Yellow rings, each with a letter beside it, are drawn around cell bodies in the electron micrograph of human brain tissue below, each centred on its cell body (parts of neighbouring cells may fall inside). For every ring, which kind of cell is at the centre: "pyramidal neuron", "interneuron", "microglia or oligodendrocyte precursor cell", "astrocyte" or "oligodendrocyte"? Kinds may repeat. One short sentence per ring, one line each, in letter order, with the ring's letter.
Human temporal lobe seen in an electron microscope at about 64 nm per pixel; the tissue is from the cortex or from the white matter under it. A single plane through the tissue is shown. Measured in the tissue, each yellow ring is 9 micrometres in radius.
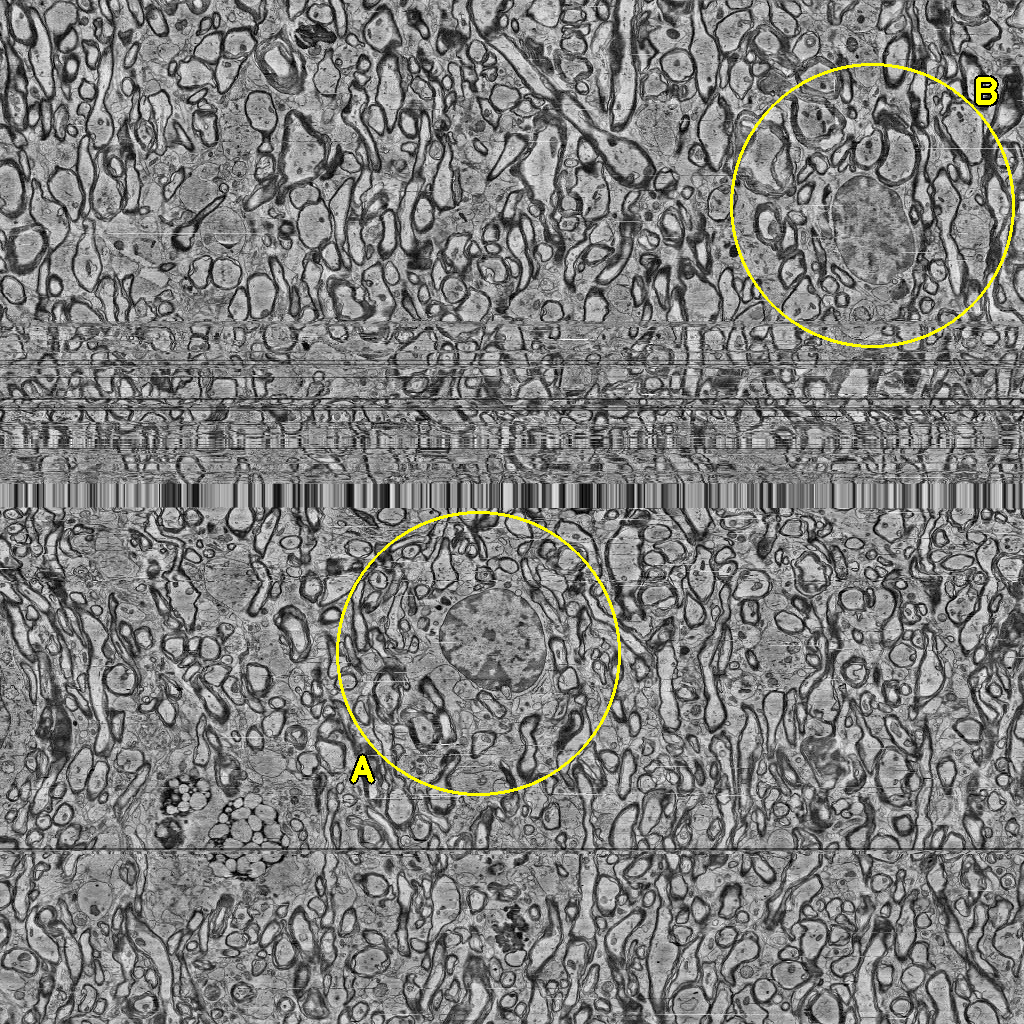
The cell in ring A is a microglial cell or oligodendrocyte precursor cell.
The cell in ring B is a microglial cell or oligodendrocyte precursor cell.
